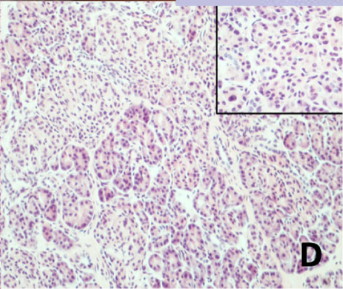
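This is pancreatic tissue at higher magnification, with glandular acini and nests of endocrine islet cells stained pink and purple. The acinar cells are grouped in small rounded units with more granular, deeper pink cytoplasm, while the islet cells form paler clusters with round nuclei. The inset shows these cells at higher power with their pale cytoplasm and variably sized nuclei.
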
